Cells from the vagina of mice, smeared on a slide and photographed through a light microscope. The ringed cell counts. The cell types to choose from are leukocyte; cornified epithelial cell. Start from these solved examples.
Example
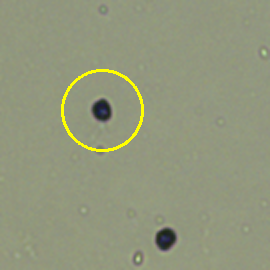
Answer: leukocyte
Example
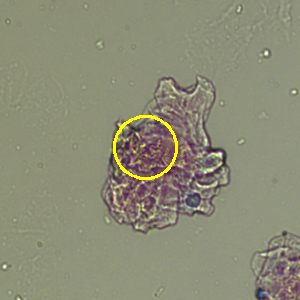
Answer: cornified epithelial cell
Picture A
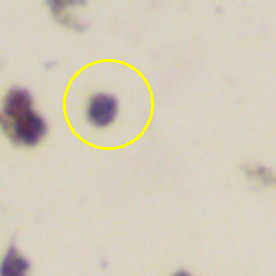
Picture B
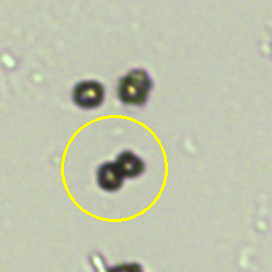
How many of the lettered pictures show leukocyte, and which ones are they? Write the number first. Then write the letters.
Count: 2 (A, B)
